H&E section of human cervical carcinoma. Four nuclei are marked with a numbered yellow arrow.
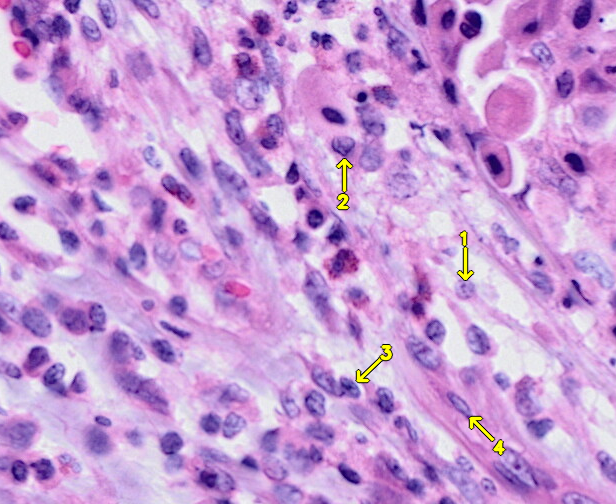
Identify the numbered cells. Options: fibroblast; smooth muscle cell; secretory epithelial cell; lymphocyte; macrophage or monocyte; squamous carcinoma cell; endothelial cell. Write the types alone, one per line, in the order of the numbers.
fibroblast
macrophage or monocyte
lymphocyte
endothelial cell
